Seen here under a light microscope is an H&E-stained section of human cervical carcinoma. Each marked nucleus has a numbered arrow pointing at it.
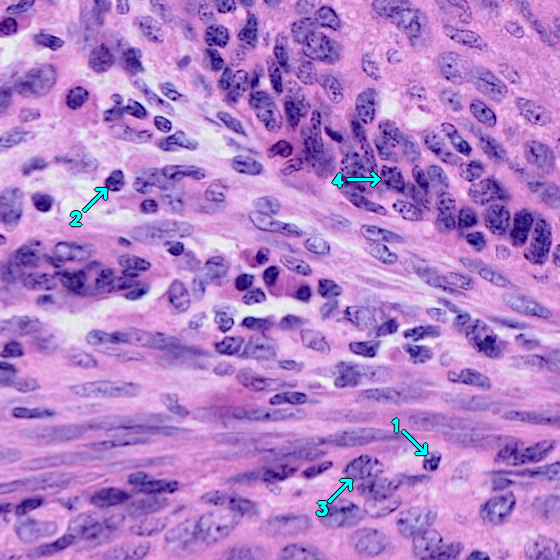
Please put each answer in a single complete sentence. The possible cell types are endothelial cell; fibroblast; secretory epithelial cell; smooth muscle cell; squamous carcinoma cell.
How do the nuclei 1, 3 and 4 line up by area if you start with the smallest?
From smallest to largest, the order is 1, 4, 3.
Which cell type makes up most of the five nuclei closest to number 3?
Most of the five nuclei nearest to number 3 are those of squamous carcinoma cells.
